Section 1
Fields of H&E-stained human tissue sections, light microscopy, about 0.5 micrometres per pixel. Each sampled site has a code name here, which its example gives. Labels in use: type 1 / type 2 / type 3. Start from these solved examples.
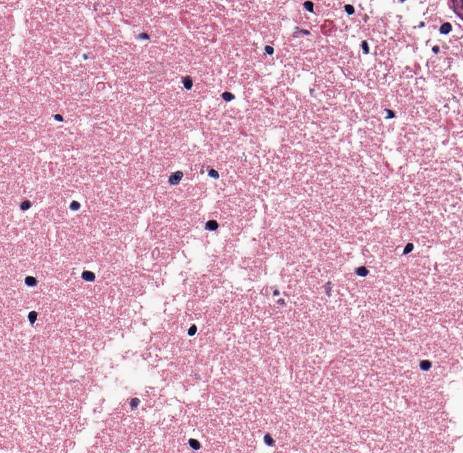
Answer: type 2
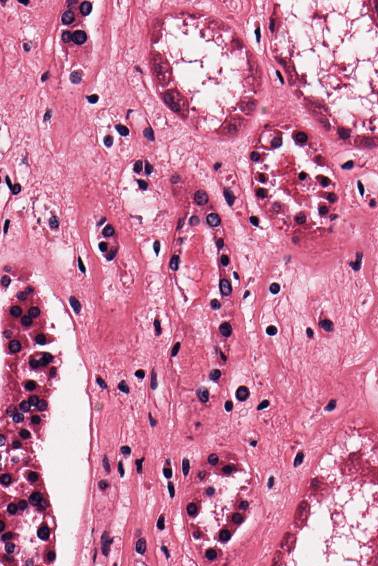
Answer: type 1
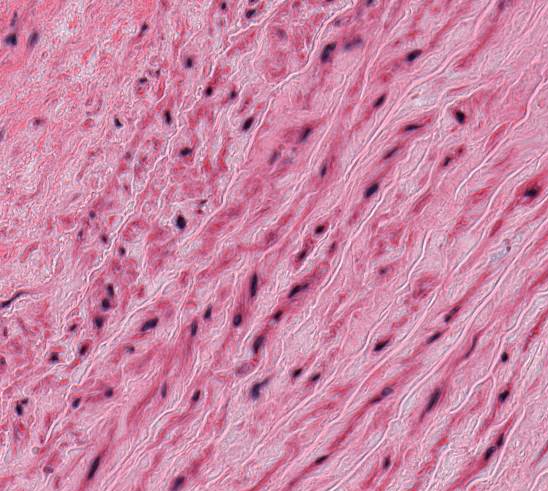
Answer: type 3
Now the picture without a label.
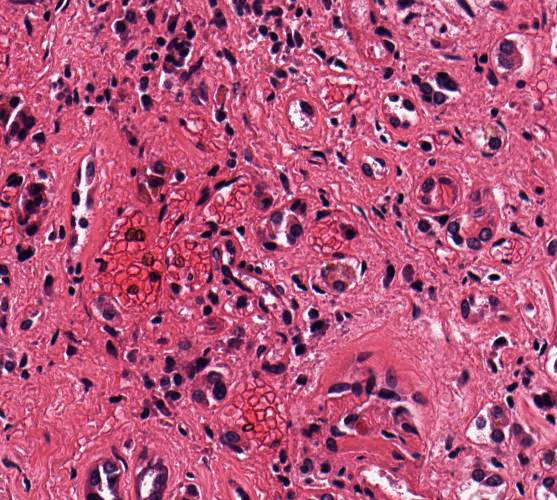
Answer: type 1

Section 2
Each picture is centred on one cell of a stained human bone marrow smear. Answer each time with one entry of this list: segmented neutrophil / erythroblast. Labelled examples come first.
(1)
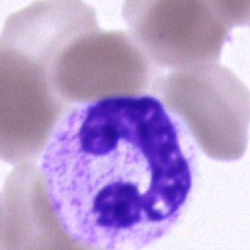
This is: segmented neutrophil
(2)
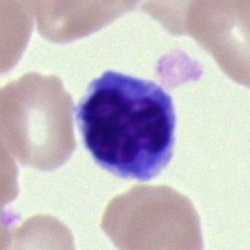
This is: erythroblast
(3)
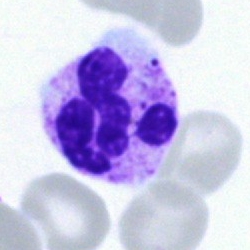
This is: segmented neutrophil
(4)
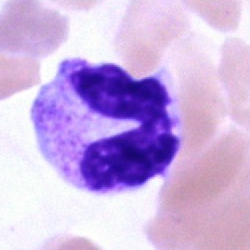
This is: segmented neutrophil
